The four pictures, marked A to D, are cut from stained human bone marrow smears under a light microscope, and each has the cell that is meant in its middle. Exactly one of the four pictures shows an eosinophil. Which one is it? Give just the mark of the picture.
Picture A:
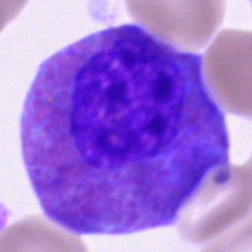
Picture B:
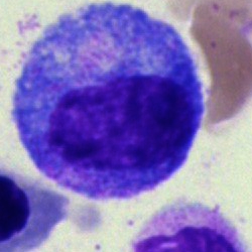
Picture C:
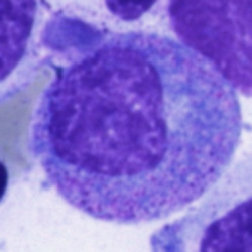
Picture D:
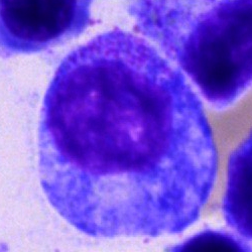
A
